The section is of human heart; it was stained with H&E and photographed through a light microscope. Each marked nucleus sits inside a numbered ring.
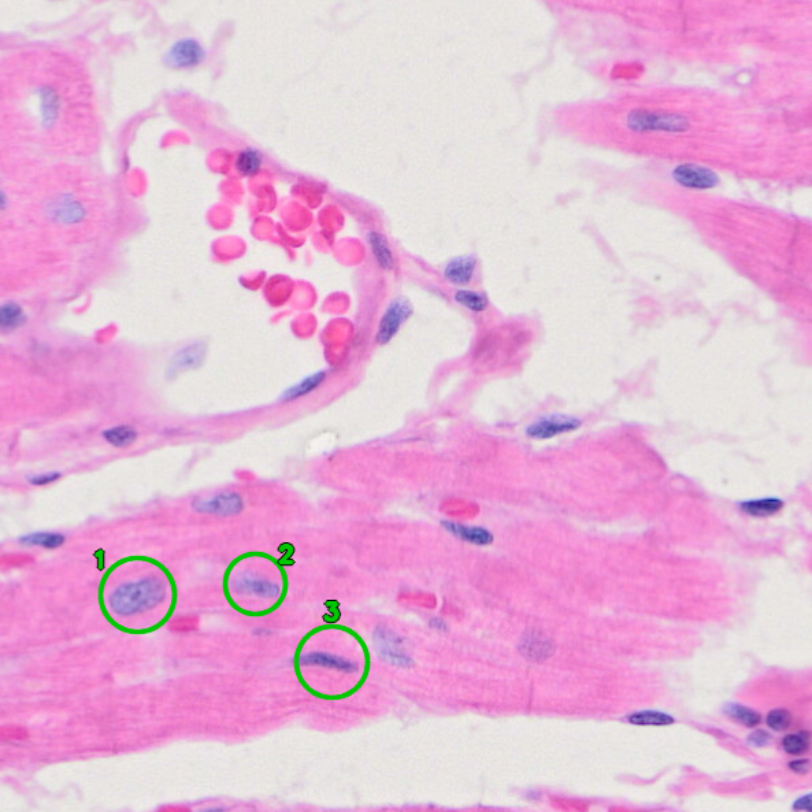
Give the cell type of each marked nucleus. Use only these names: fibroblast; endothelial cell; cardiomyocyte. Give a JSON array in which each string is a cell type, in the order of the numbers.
["cardiomyocyte", "cardiomyocyte", "endothelial cell"]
